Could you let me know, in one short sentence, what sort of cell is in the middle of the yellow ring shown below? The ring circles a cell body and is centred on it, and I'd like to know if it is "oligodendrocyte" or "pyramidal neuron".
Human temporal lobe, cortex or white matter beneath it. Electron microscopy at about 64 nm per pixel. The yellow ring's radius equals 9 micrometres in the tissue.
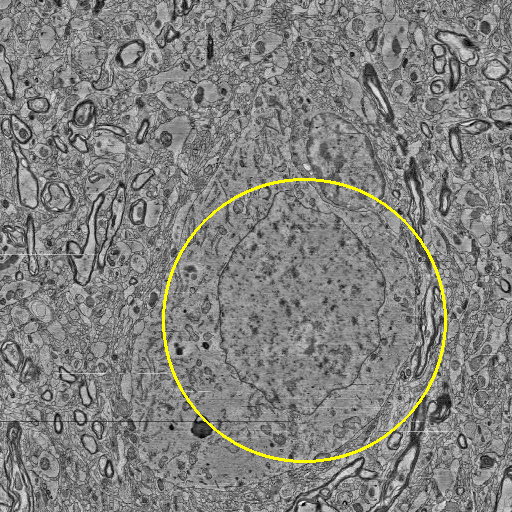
The ring circles the cell body of a pyramidal neuron.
